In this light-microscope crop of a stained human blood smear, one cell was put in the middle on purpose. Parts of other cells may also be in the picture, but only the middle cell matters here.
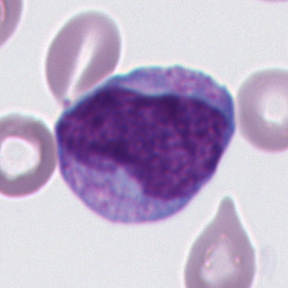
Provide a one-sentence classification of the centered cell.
The cell found in the middle of this crop is an atypical promyelocyte.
